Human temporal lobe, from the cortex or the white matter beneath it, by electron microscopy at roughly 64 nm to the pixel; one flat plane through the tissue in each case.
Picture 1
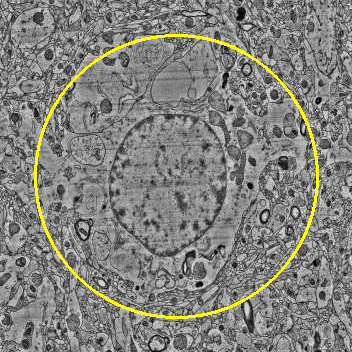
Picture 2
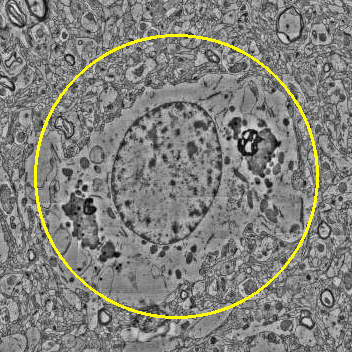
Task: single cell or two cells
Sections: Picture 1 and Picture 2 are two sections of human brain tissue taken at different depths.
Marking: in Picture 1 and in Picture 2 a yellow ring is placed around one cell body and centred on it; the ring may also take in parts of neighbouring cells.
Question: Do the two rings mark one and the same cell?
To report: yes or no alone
no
